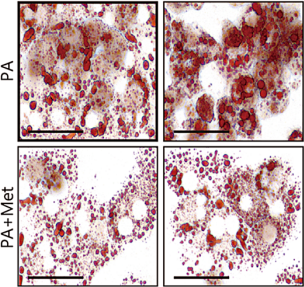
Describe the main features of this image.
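In each of the four fields, cultured cells hold many round droplets stained red to orange by the dye. The droplets vary from small dots to large globules crowding the cytoplasm, and the unstained outlines of the cells and the spaces between them show pale. In the upper fields the droplets are larger and more tightly packed than in the lower fields.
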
